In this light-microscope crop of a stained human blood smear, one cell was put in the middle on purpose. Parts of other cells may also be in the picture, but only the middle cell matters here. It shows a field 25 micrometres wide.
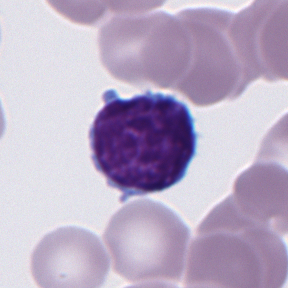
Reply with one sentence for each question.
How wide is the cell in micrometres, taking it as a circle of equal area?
Taken as a circle, the cell has a diameter of about 10 micrometres.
